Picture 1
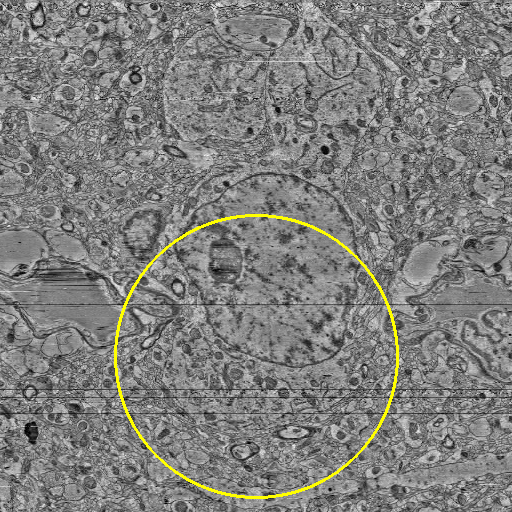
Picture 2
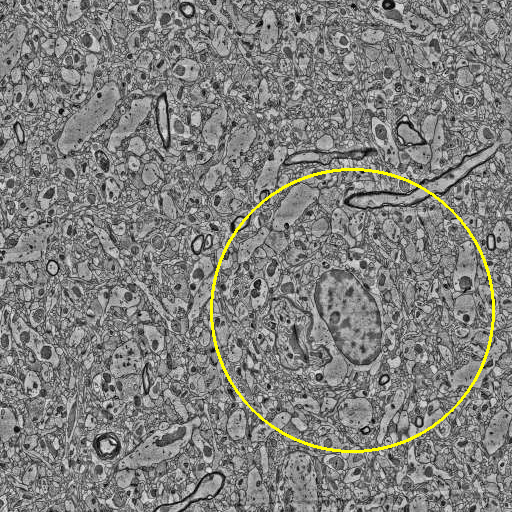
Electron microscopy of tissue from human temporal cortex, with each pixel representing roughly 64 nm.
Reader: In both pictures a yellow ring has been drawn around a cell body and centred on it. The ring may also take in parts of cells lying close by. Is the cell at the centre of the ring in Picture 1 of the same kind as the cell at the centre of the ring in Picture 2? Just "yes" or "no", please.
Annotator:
no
